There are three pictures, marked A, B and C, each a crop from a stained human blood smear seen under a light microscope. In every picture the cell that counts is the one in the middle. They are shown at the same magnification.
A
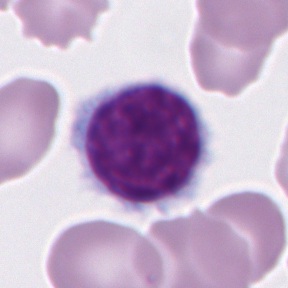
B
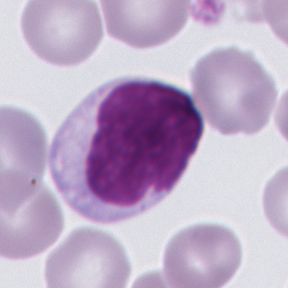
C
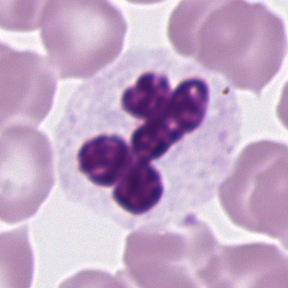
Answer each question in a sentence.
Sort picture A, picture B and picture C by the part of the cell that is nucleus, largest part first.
The most filled comes first: A, B, C.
